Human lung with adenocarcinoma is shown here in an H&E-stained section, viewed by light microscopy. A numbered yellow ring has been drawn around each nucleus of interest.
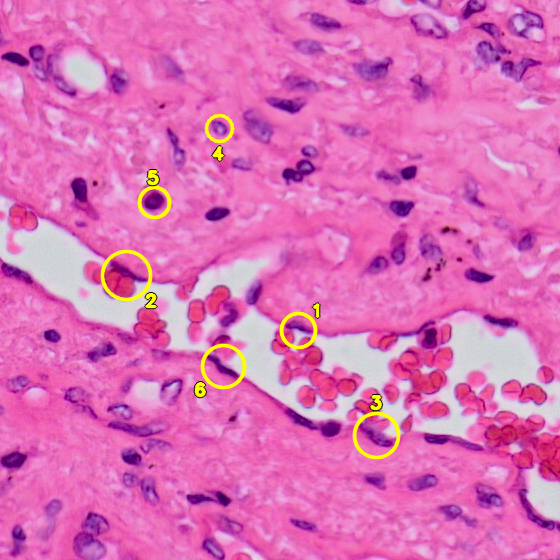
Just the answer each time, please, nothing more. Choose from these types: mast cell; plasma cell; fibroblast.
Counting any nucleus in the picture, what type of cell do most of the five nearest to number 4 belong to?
fibroblast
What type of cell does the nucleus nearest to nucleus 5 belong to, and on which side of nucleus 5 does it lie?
a fibroblast, above and to the right of nucleus 5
